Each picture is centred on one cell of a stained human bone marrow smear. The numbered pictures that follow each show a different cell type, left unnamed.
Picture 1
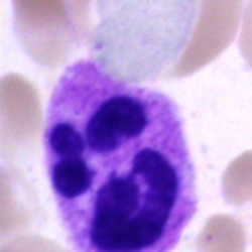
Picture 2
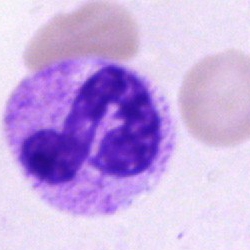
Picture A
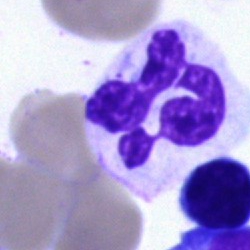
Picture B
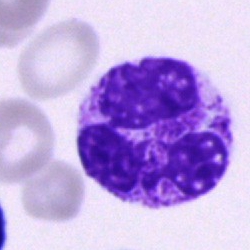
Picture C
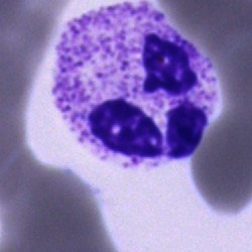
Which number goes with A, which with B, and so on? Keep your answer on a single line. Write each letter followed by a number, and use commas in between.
A 1, B 1, C 1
